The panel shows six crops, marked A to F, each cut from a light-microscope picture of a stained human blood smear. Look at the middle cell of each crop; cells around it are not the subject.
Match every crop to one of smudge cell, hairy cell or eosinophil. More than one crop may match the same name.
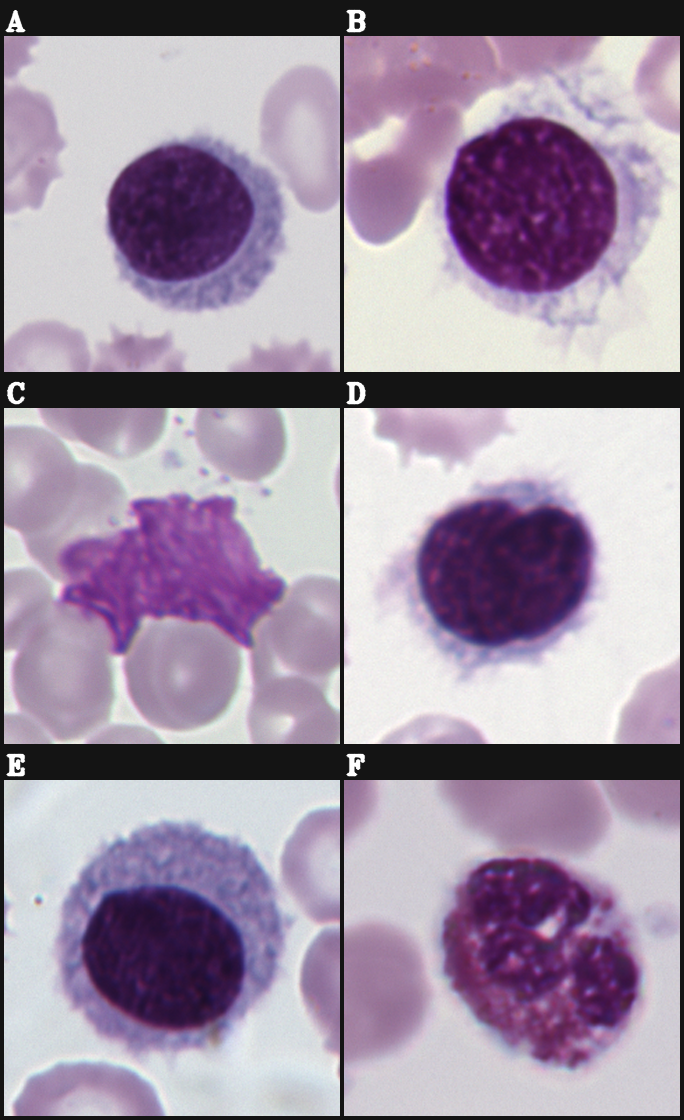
A: hairy cell
B: hairy cell
C: smudge cell
D: hairy cell
E: hairy cell
F: eosinophil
